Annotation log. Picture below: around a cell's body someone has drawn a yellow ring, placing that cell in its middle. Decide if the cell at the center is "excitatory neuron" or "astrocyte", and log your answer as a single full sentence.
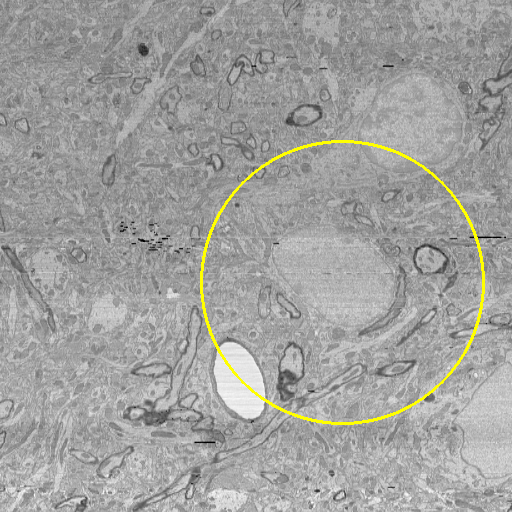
My entry records an astrocyte as the cell sitting at the center of the yellow ring.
